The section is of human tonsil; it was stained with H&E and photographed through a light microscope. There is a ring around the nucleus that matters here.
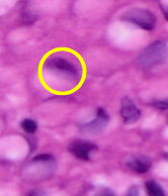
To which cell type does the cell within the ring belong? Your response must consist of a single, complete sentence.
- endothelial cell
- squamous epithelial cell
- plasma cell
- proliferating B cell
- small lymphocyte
In this field of tissue, the cell within the ring is a squamous epithelial cell.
